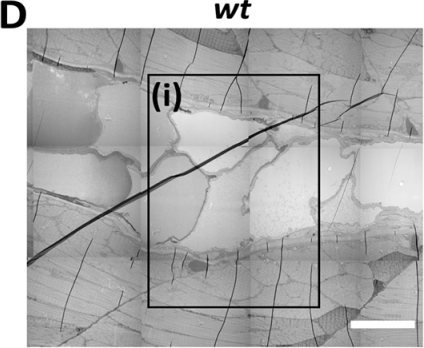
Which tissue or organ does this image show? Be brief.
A: notochord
